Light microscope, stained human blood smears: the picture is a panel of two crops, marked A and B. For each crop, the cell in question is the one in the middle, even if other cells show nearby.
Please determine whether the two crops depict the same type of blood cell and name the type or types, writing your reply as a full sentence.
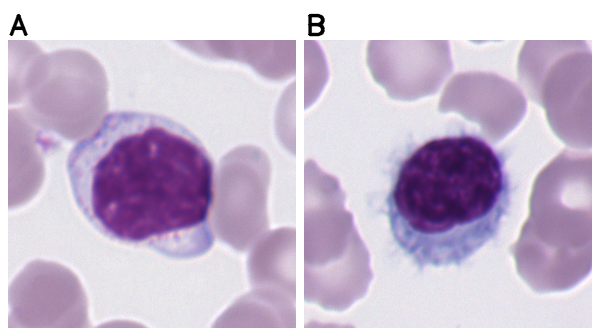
No, a large granular lymphocyte is what crop A shows, and a hairy cell is what crop B shows.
